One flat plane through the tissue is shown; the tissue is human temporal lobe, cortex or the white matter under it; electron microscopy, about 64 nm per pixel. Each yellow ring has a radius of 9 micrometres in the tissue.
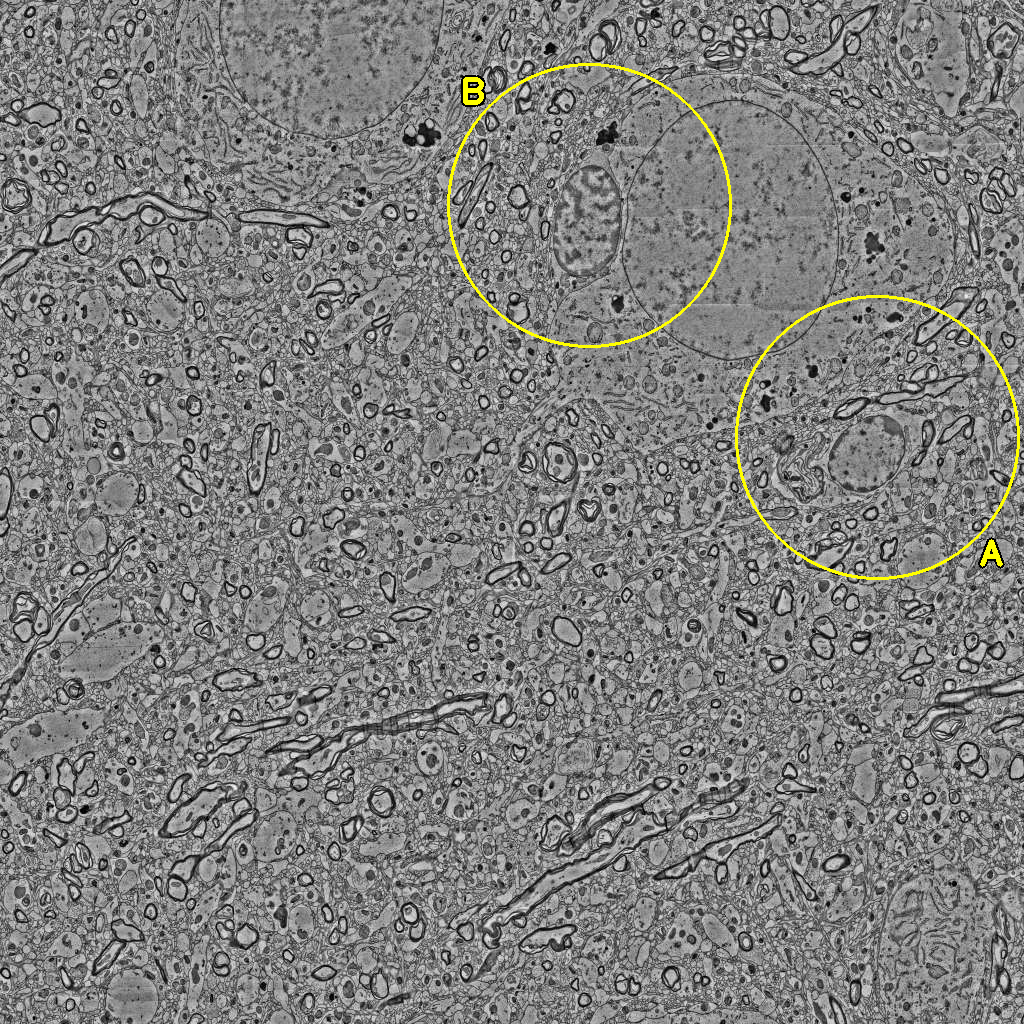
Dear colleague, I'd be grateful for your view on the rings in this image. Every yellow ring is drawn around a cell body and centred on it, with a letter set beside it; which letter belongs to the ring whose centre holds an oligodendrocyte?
B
